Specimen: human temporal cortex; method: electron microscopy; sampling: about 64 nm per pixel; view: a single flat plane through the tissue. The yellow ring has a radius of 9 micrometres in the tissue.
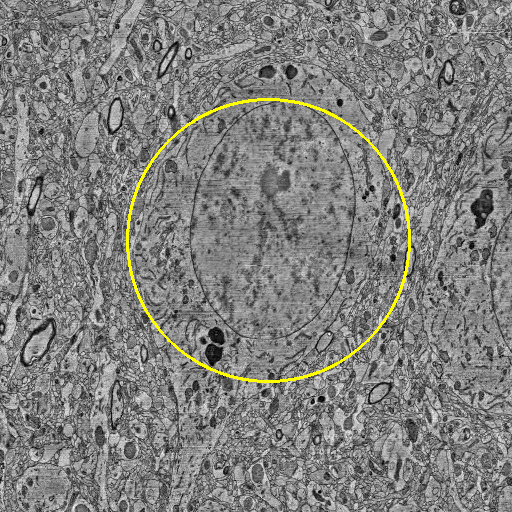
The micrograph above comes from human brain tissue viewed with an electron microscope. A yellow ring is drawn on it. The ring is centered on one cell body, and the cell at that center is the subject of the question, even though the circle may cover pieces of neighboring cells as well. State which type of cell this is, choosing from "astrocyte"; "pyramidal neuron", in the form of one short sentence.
The cell the ring is centered on is a pyramidal neuron.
